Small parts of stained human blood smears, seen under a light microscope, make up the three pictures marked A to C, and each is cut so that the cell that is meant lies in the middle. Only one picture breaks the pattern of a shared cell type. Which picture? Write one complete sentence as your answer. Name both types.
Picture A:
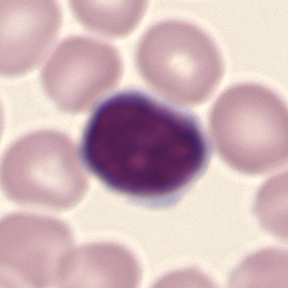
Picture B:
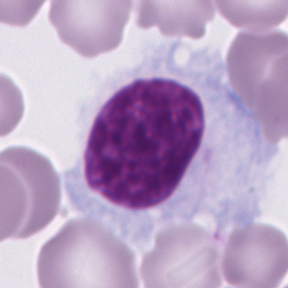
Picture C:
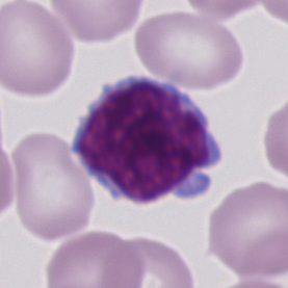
Picture B is the odd one out: it shows a hairy cell, while the others show typical lymphocytes.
